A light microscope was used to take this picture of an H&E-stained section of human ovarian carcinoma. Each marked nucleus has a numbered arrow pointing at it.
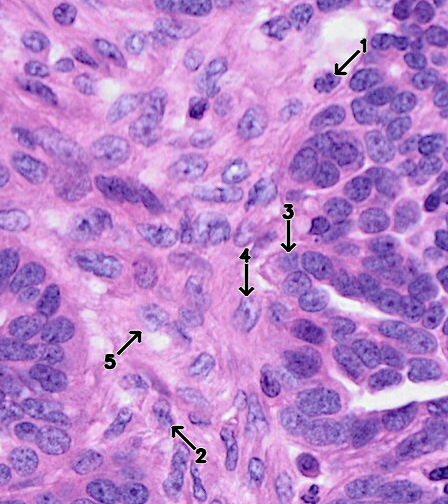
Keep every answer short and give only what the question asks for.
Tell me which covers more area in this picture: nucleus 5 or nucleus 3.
5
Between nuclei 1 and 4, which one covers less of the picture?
1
